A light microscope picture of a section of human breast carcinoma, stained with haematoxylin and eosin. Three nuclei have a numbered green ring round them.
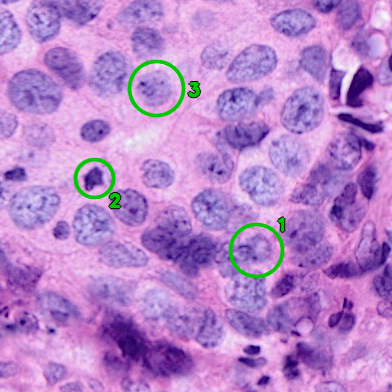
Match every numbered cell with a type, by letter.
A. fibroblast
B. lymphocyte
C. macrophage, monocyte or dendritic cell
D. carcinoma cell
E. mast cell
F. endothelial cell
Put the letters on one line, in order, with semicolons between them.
D; B; D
